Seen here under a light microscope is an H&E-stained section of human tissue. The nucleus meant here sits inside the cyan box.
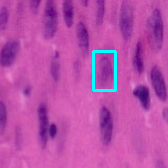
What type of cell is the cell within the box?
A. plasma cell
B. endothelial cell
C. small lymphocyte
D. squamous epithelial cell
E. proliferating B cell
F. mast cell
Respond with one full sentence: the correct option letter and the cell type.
As stated in option D, the cell within the box is a squamous epithelial cell.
